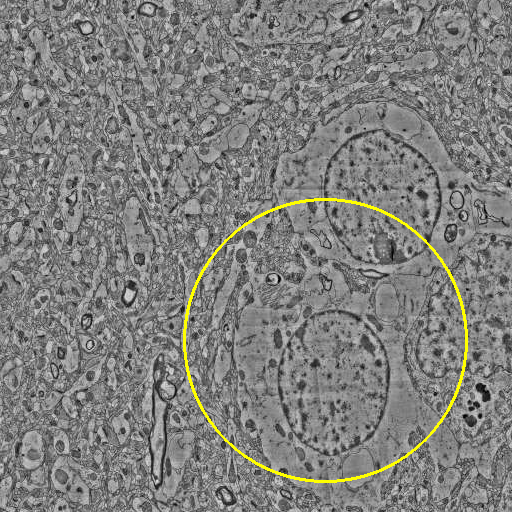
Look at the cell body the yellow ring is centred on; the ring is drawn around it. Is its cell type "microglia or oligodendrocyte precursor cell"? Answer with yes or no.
No, its cell type is another.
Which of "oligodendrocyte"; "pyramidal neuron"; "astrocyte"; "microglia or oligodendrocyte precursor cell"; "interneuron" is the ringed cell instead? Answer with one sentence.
Here, the ring is centred on an astrocyte instead.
